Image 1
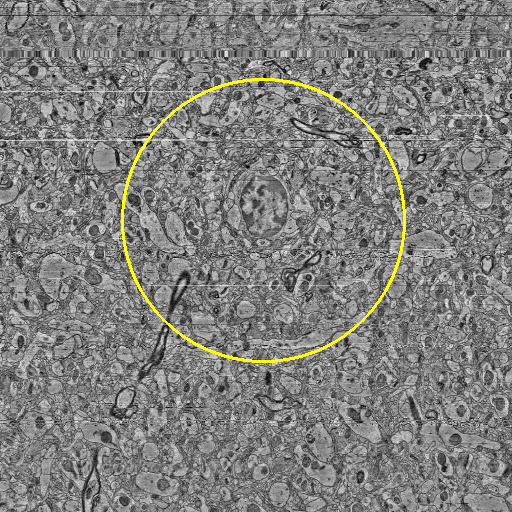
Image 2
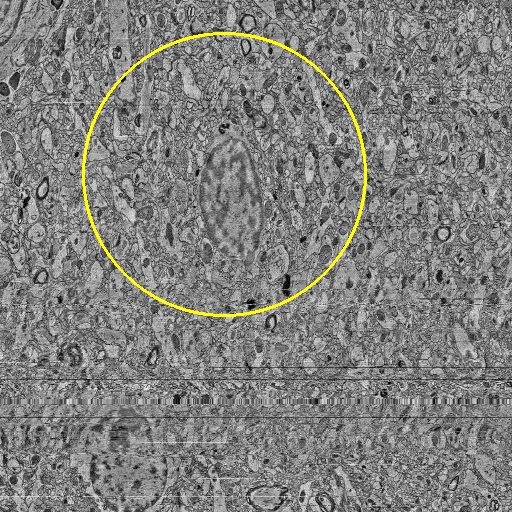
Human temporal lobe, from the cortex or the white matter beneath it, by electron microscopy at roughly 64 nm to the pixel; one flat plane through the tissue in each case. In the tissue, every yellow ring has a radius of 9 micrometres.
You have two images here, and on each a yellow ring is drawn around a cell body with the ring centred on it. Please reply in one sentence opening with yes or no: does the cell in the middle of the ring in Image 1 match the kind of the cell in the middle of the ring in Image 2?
No, the two images show cells of two kinds at the centres of their rings.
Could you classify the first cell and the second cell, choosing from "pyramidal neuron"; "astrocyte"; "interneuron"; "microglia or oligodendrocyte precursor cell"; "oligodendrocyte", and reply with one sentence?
The second cell is an oligodendrocyte, while the first is a microglial cell or oligodendrocyte precursor cell.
